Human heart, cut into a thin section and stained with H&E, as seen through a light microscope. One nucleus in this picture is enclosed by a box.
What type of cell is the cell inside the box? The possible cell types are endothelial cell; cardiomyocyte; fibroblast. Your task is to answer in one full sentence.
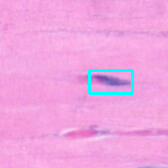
The expected answer is simply that the cell inside the box is an endothelial cell.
